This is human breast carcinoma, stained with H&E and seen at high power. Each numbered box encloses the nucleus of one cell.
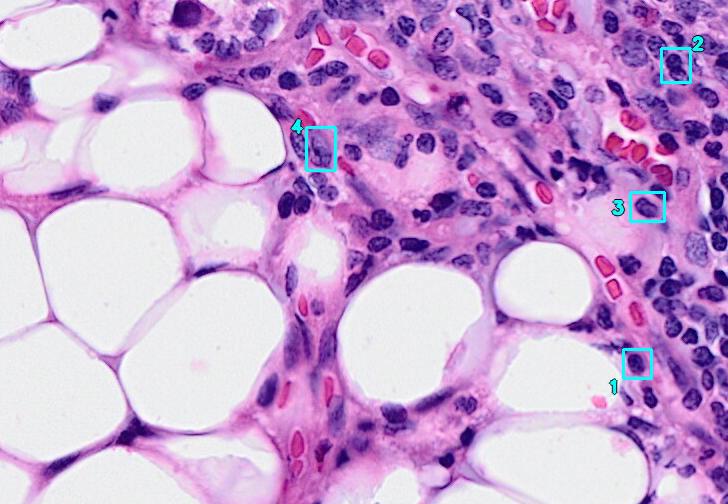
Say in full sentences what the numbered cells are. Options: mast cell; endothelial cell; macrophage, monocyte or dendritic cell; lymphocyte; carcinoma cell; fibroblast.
Cells 1, 2 and 3 are lymphocytes. Cell 4 is an endothelial cell.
